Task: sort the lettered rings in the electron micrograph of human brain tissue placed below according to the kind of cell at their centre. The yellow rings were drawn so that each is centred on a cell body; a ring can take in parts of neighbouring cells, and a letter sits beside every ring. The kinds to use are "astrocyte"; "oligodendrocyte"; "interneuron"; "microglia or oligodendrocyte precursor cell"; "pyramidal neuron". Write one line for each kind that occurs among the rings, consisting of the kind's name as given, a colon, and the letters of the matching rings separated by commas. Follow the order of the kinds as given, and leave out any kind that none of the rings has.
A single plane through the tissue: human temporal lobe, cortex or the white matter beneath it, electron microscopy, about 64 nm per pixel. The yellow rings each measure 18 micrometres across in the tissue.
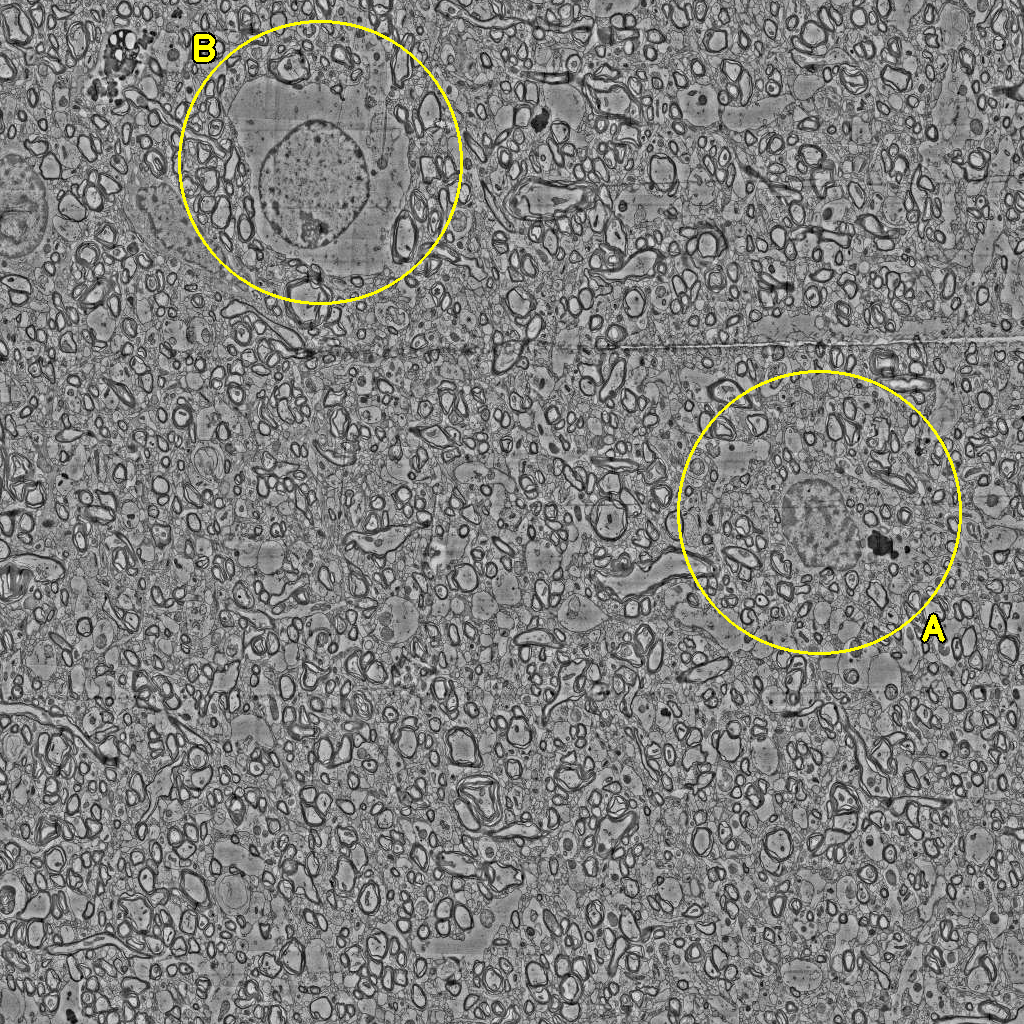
astrocyte: B
oligodendrocyte: A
